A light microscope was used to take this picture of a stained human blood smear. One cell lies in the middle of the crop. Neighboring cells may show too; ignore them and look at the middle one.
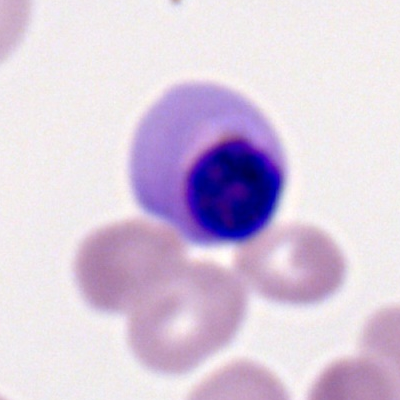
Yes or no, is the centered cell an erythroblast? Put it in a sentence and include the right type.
Yes, the cell located at the center is an erythroblast.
